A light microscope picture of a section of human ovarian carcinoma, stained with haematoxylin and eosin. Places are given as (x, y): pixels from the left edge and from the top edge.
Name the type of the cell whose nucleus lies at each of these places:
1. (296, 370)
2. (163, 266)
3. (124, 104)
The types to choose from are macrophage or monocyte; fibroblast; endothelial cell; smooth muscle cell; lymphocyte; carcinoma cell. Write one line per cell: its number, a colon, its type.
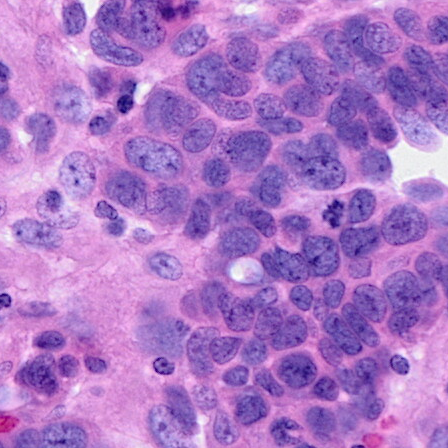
1: carcinoma cell
2: fibroblast
3: lymphocyte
